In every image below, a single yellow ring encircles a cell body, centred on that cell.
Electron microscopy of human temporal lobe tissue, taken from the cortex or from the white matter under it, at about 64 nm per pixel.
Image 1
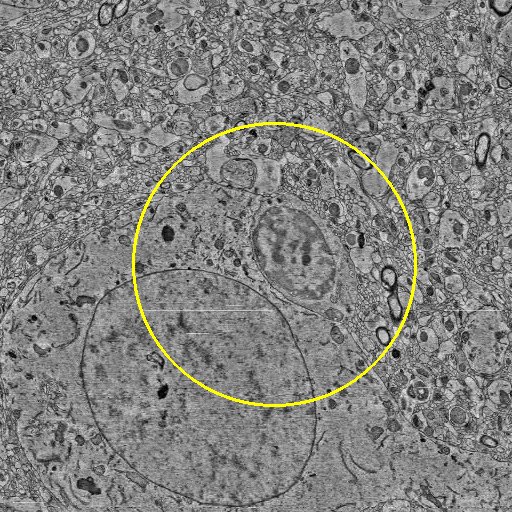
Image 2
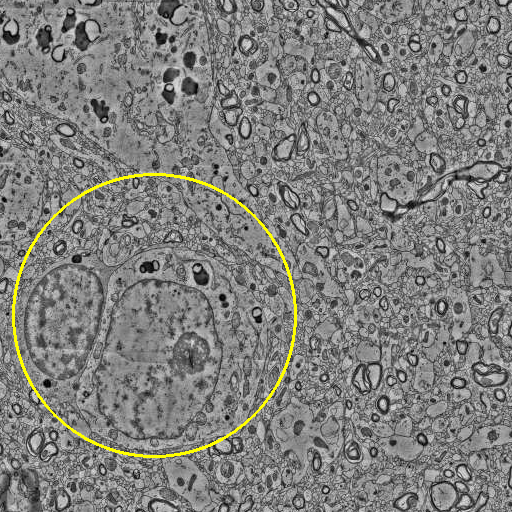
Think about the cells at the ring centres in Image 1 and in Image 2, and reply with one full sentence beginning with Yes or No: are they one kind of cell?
No, the cells centred in the rings of Image 1 and Image 2 are two kinds of cell.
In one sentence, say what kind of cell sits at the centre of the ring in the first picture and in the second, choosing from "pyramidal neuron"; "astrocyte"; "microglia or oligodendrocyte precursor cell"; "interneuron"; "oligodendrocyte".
The first picture's ringed cell is an oligodendrocyte, while the second picture's is a pyramidal neuron.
